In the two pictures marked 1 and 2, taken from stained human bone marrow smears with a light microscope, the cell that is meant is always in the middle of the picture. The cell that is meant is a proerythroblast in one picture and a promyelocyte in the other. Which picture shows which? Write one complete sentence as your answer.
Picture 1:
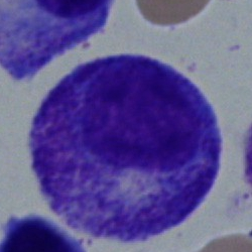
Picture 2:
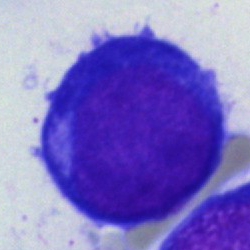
Picture 1 is of a promyelocyte, and picture 2 is of a proerythroblast.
